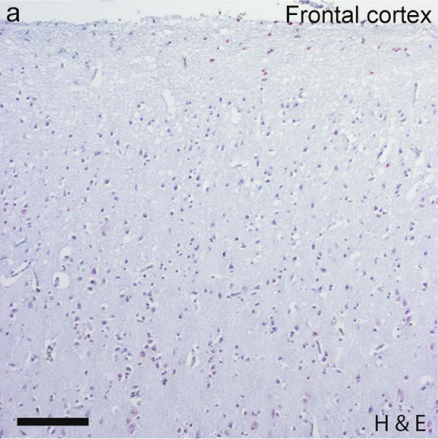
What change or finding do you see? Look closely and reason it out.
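Microvacuolation. The upper cortical layers look finely spongy with many small clear holes. Clear spaces lie around cell bodies.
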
